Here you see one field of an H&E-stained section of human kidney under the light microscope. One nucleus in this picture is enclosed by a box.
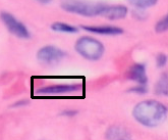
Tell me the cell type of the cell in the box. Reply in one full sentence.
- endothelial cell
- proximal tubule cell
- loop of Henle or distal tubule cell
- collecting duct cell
As for its identity, the cell in the box is an endothelial cell.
